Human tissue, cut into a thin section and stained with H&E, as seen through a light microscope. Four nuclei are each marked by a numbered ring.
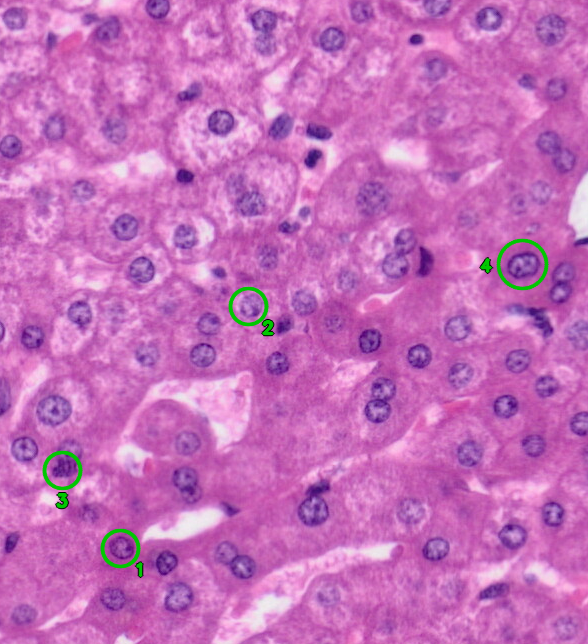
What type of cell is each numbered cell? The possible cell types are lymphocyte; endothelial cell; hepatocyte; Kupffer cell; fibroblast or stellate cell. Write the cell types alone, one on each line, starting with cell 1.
hepatocyte
hepatocyte
fibroblast or stellate cell
hepatocyte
